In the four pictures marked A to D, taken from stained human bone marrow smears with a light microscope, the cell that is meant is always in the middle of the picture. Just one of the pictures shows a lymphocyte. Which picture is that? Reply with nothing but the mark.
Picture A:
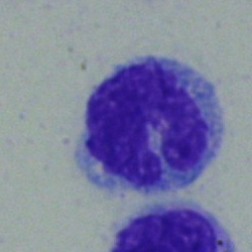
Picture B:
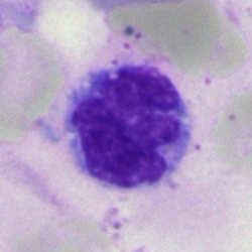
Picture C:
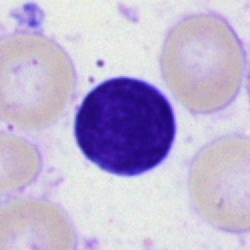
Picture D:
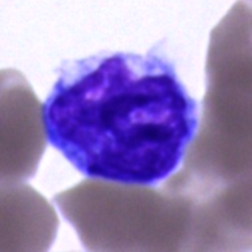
C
